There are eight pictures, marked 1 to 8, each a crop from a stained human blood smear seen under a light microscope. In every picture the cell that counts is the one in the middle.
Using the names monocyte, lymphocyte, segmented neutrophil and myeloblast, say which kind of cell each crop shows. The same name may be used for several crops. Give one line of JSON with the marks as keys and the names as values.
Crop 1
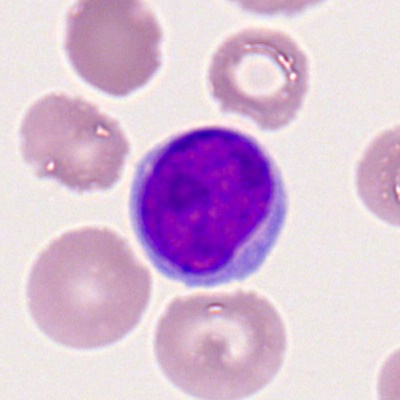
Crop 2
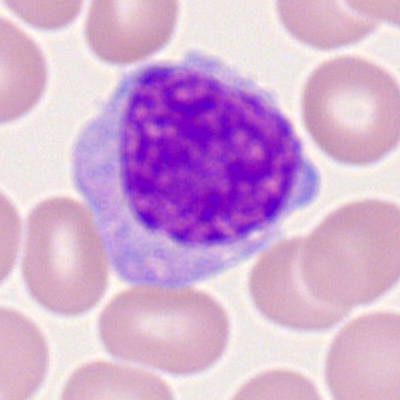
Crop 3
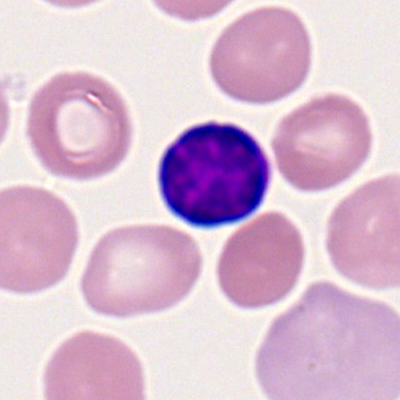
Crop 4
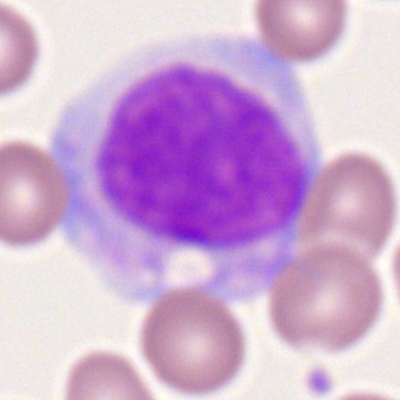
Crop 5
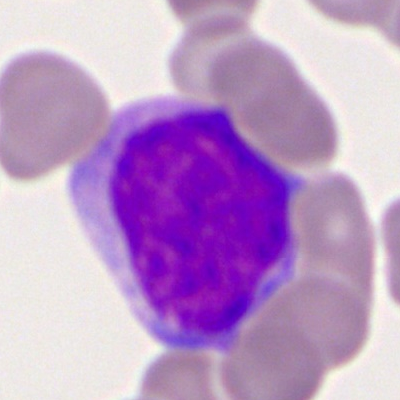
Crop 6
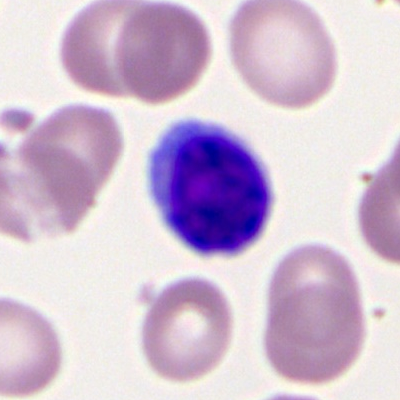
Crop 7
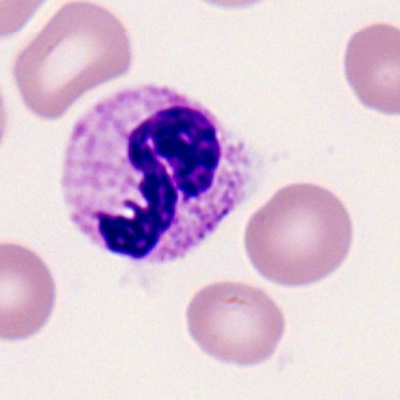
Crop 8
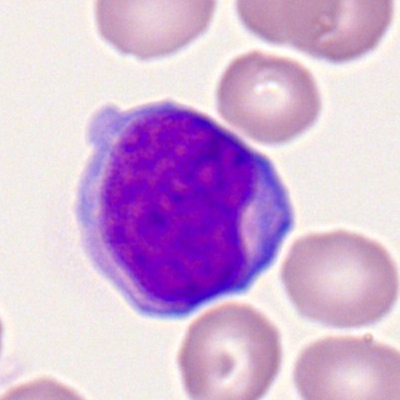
{"1": "lymphocyte", "2": "monocyte", "3": "lymphocyte", "4": "monocyte", "5": "myeloblast", "6": "lymphocyte", "7": "segmented neutrophil", "8": "myeloblast"}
